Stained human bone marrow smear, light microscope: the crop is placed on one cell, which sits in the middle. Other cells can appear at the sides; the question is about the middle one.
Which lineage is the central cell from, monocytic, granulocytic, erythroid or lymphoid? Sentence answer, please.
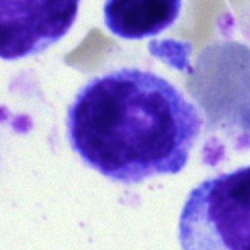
The central cell originates in the monocytic lineage.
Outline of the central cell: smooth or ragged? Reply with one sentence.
The cell is bounded by a ragged or projection-bearing margin rather than a smooth one.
